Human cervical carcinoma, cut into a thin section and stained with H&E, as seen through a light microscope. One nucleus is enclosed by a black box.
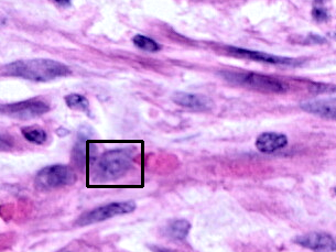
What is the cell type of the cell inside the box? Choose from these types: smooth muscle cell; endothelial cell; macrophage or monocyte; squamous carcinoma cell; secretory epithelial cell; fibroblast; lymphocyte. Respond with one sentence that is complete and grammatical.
In this tissue section, the cell inside the box is to be classed as an endothelial cell.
